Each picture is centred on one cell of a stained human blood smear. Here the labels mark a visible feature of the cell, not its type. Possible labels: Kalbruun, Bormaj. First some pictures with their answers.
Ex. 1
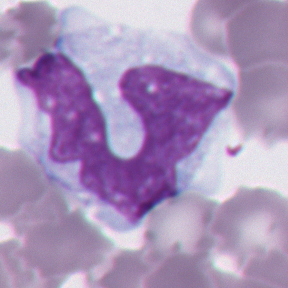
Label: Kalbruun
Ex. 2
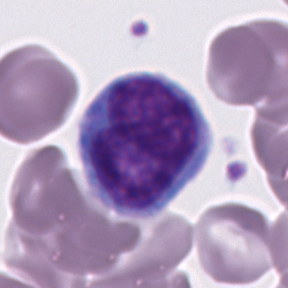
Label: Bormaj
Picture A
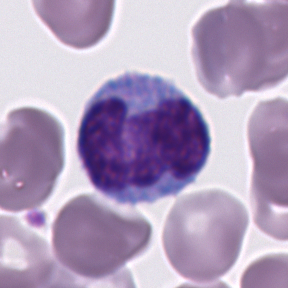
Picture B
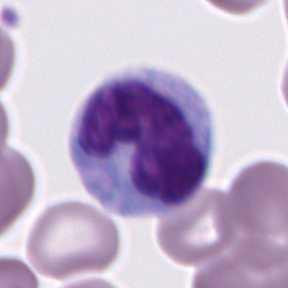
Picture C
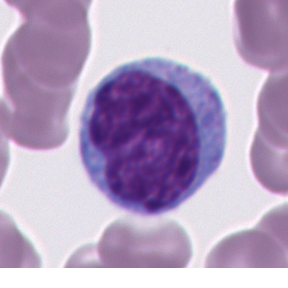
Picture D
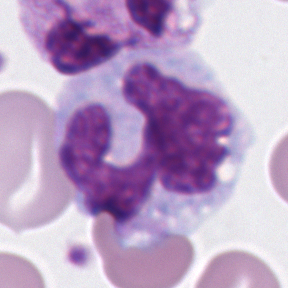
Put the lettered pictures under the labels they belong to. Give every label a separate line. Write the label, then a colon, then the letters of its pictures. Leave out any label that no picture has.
Kalbruun: A, B, D
Bormaj: C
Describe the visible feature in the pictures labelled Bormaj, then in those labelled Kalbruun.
Seen in Bormaj: round or oval nucleus; seen in Kalbruun: band-shaped nucleus.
